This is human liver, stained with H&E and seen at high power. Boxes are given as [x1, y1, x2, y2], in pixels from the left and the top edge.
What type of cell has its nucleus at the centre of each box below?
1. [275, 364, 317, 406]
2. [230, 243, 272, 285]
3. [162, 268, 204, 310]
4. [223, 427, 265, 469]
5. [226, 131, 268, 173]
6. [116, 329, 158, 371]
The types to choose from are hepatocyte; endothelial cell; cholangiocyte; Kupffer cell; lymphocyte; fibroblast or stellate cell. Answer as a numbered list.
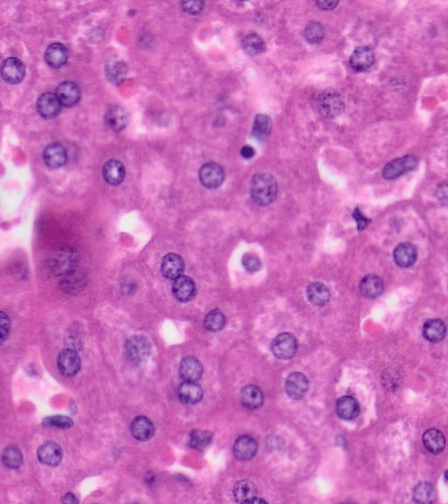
1. hepatocyte
2. Kupffer cell
3. hepatocyte
4. hepatocyte
5. lymphocyte
6. hepatocyte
